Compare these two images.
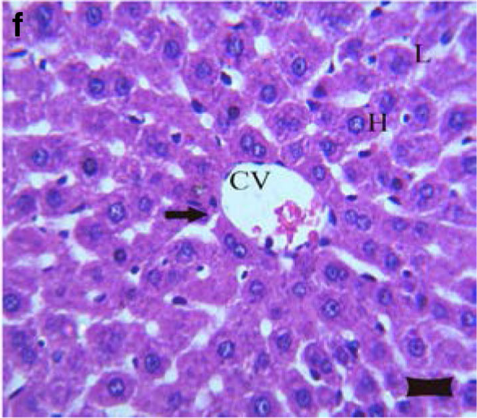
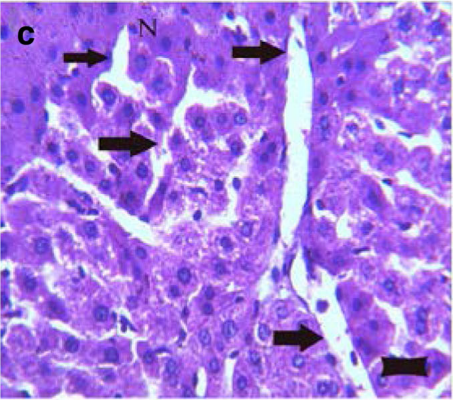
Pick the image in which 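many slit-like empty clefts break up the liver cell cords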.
The second image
